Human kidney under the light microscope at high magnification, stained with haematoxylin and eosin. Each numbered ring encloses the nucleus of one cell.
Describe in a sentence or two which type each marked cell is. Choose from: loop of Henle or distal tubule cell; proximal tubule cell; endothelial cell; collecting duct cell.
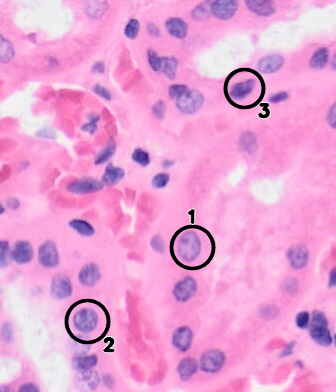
Cell 1 is a proximal tubule cell. Cells 2 and 3 are collecting duct cells.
